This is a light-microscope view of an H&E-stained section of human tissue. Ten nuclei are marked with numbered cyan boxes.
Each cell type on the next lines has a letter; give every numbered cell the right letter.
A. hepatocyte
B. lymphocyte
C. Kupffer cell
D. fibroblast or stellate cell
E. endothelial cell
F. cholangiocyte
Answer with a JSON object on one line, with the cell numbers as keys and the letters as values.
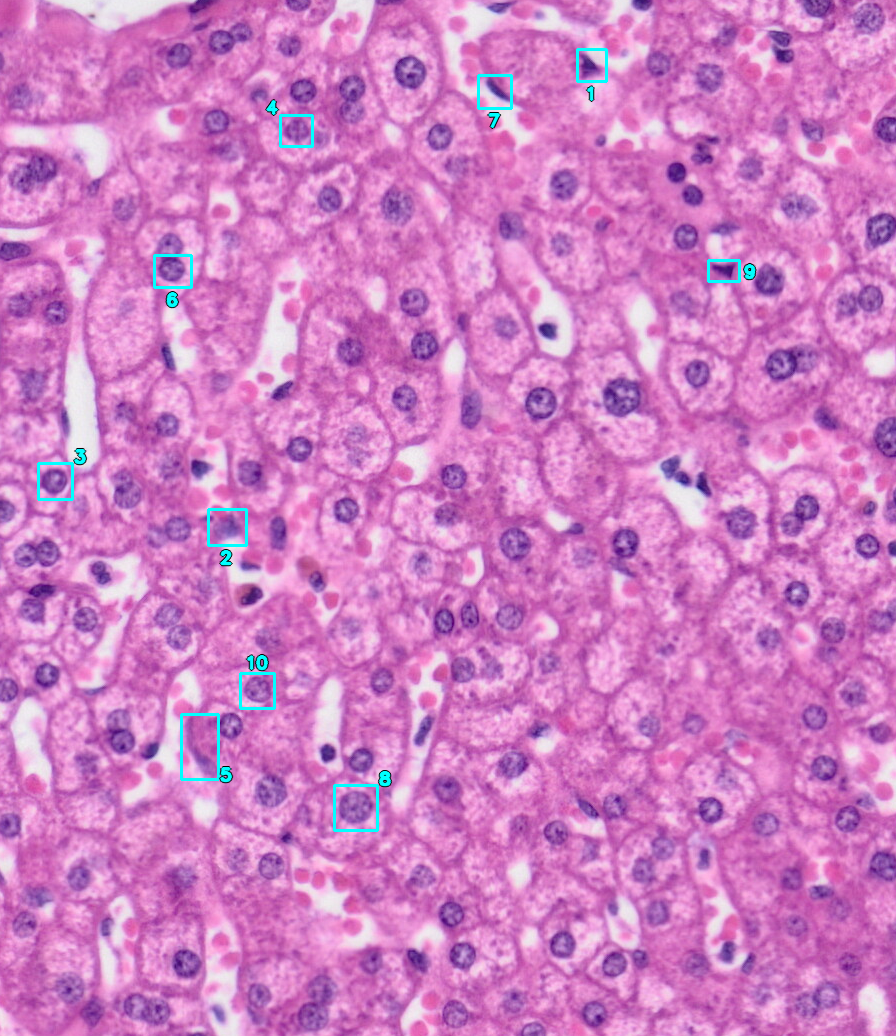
{"1": "D", "2": "E", "3": "A", "4": "A", "5": "C", "6": "A", "7": "E", "8": "A", "9": "D", "10": "A"}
